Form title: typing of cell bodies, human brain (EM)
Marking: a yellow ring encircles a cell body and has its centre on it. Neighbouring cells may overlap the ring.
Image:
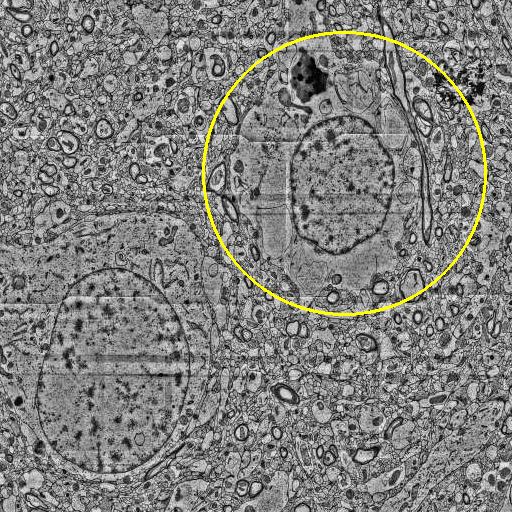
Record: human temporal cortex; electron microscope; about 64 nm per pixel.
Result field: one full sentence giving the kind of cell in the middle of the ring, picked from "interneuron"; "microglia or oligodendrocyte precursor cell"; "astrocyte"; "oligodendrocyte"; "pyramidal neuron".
In the picture, the ring is centred on an astrocyte, whose cell body it encircles.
